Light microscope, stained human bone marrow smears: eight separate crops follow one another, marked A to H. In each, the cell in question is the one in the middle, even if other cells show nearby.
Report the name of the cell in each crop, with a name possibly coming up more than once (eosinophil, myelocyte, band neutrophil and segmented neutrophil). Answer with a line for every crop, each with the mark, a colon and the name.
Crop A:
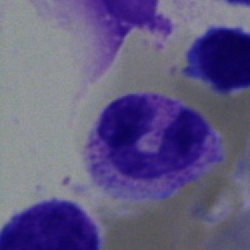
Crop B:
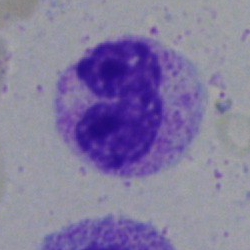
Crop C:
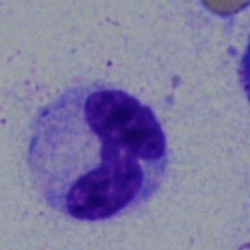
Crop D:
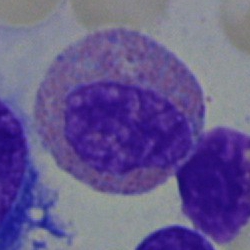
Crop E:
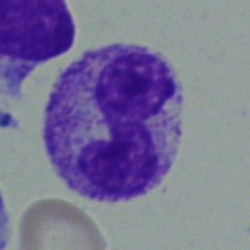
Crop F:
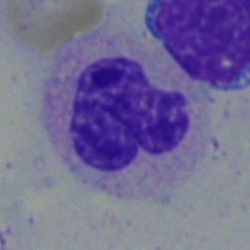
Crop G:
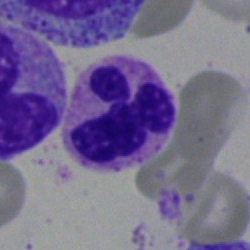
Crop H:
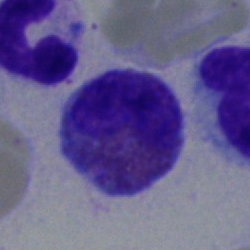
A: segmented neutrophil
B: band neutrophil
C: band neutrophil
D: eosinophil
E: band neutrophil
F: band neutrophil
G: segmented neutrophil
H: eosinophil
